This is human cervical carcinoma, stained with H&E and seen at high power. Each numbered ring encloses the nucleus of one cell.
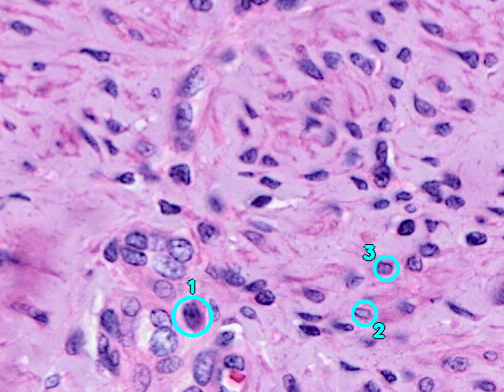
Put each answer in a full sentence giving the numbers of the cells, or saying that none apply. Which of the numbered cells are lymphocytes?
Cell 1 is a lymphocyte, and that holds for no other numbered cell.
